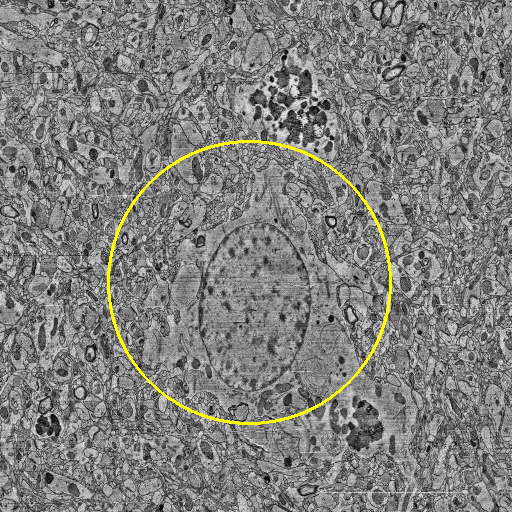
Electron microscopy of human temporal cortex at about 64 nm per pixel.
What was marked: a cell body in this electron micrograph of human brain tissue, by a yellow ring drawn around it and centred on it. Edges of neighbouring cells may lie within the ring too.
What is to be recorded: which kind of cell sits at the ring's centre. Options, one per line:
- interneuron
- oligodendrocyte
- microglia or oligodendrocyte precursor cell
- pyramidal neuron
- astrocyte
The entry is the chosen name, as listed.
astrocyte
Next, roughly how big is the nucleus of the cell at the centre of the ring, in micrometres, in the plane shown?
In this plane the nucleus is roughly 11 by 7 micrometres, clearly longer than it is wide.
